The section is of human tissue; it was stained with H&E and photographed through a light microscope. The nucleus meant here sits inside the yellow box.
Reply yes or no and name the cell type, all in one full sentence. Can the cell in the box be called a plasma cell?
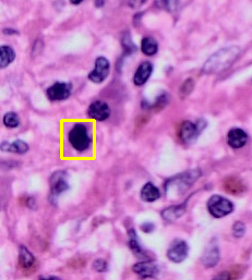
Yes, where cell type is concerned, the cell in the box is a plasma cell.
